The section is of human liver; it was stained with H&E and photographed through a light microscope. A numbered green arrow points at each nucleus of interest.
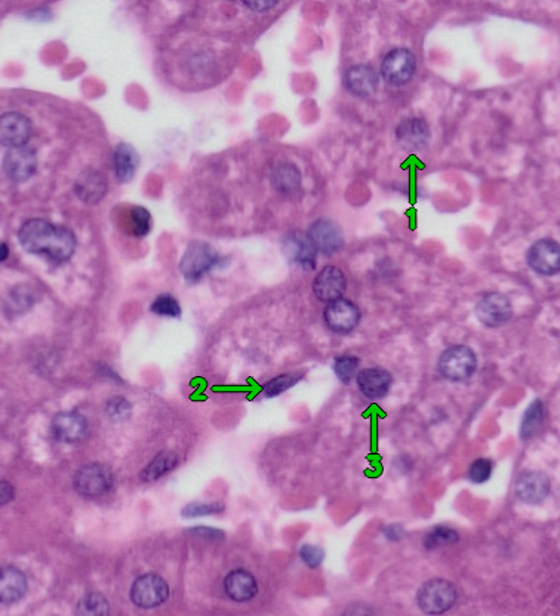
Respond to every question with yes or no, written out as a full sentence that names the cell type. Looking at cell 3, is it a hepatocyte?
Yes, the marked cell with number 3 is a hepatocyte.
